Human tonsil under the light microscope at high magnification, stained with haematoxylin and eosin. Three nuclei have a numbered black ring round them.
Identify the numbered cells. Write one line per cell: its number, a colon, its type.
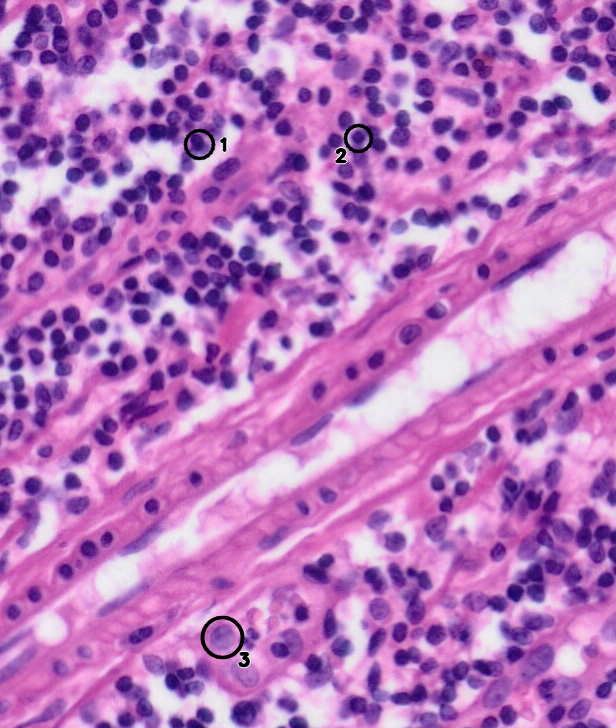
1: small lymphocyte
2: small lymphocyte
3: endothelial cell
